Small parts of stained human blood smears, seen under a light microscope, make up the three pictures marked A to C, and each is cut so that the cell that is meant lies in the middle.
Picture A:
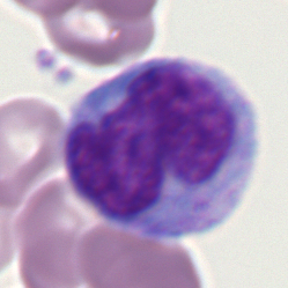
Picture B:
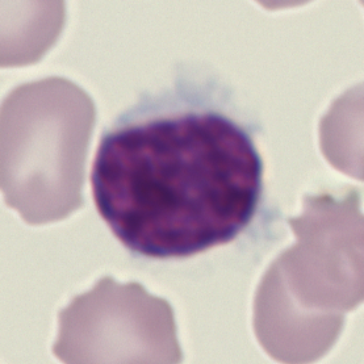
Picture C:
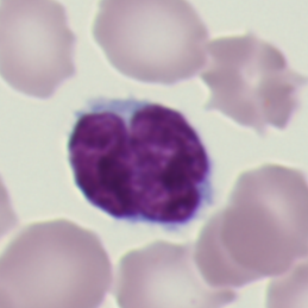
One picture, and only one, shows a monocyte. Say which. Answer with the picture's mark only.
A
